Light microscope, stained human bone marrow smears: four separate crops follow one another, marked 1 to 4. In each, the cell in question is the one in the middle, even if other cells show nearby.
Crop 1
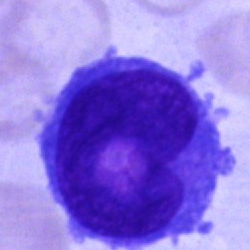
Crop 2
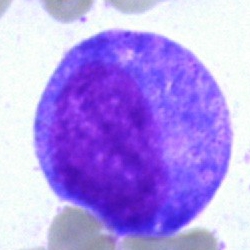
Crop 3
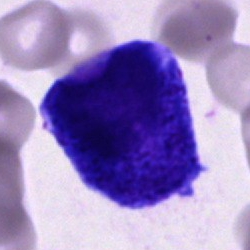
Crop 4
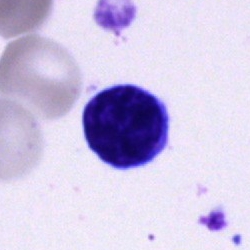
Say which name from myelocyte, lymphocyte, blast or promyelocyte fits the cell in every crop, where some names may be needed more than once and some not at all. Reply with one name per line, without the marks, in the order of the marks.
blast
promyelocyte
promyelocyte
lymphocyte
